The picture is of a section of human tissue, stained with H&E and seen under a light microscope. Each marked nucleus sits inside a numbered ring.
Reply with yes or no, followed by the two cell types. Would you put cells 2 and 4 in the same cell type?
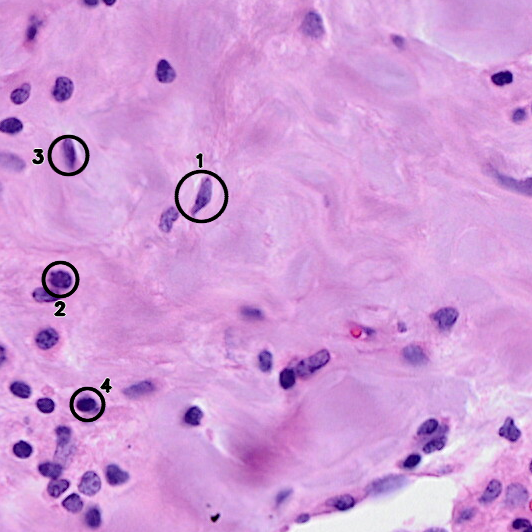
Yes, with respect to identity, cells 2 and 4 are both lymphocytes.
